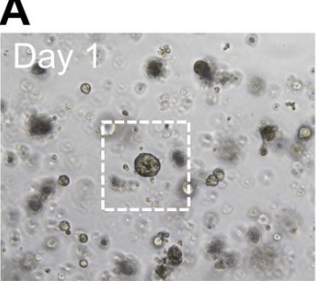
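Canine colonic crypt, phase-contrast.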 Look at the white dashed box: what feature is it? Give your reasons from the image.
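The white dashed box surrounds a small round multicellular body. The body has a dark rim and a darker granular interior. It is larger than the scattered single round cells and debris around it.
Colonoid.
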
